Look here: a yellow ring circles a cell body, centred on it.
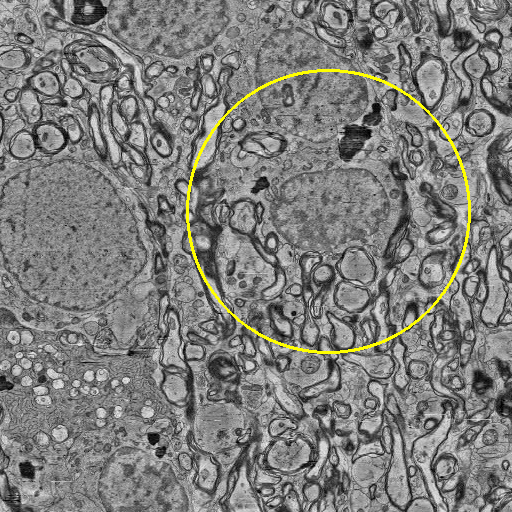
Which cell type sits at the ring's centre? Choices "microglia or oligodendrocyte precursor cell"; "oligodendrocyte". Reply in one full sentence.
The cell at the centre of the yellow ring in the picture is an oligodendrocyte.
